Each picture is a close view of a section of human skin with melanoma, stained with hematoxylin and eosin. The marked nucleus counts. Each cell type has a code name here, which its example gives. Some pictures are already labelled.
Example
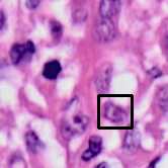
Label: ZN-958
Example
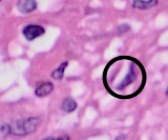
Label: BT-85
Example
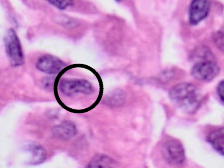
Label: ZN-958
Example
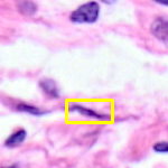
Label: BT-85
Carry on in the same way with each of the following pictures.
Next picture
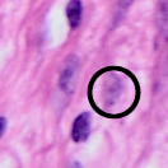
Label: BT-85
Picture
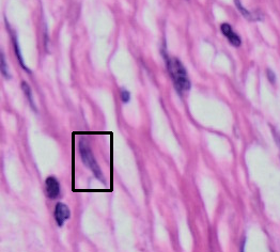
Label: BT-85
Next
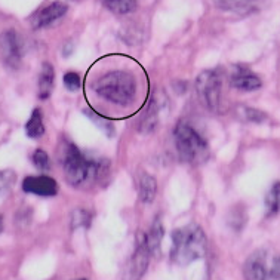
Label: ZN-958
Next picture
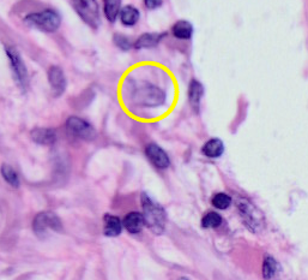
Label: BT-85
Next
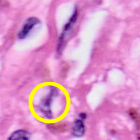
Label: BT-85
